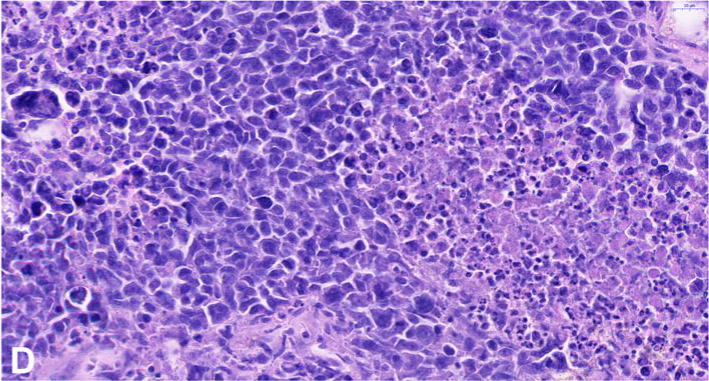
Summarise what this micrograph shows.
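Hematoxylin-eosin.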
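This field shows sheets of highly atypical tumour cells beside an area of necrosis. On the left the viable cells have large, pleomorphic, dark nuclei with occasional huge bizarre forms and scant cytoplasm. Toward the right the tissue becomes a pink, granular area strewn with small dark fragments of broken nuclei, where cell outlines are lost.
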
